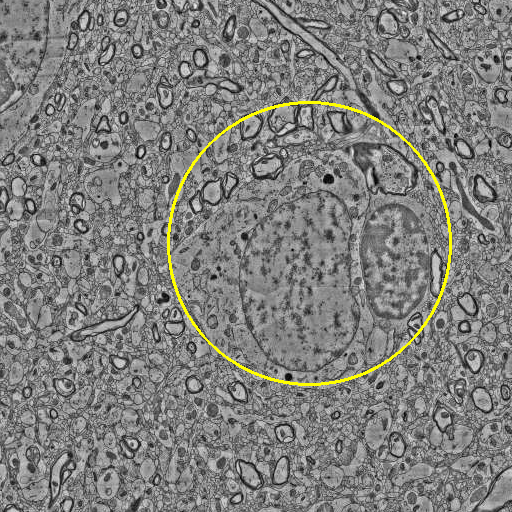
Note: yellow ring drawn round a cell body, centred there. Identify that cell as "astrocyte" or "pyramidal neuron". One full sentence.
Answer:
The cell in the middle of the ring is a pyramidal neuron.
